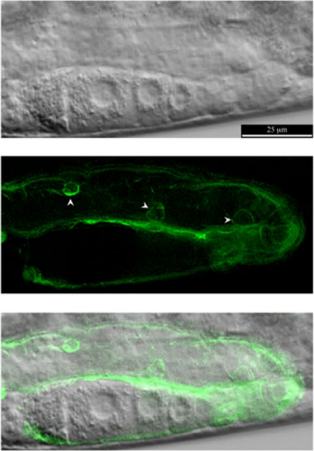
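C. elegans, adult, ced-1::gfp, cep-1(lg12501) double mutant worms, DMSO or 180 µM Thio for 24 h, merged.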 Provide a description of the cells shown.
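In the grey image the gonad tube holds small round germ cells and, in one part, a short row of larger cells with big round nuclei. In the green image the gonad outline is bright, and only a few small green rings are present. White arrowheads point to these rings, which surround apoptotic germ cell corpses. The overlay places the rings among the germ cells of the tube.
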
